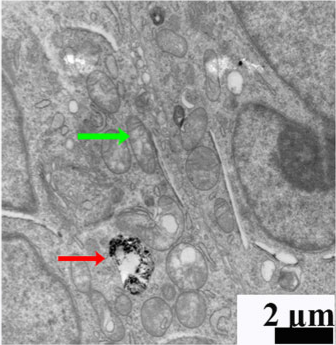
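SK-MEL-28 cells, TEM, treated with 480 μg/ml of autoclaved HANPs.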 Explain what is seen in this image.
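Electron micrograph of part of a cultured cell whose cytoplasm is crowded with swollen mitochondria. A nucleus lies at the right, with finely granular chromatin and a large dark nucleolus. Below the centre lies a membrane-bound vacuole containing dark, electron-dense granular material around a clear space. Several small clear vacuoles are scattered in the cytoplasm at the upper left. Thin membrane profiles cross the cytoplasm between the organelles.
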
